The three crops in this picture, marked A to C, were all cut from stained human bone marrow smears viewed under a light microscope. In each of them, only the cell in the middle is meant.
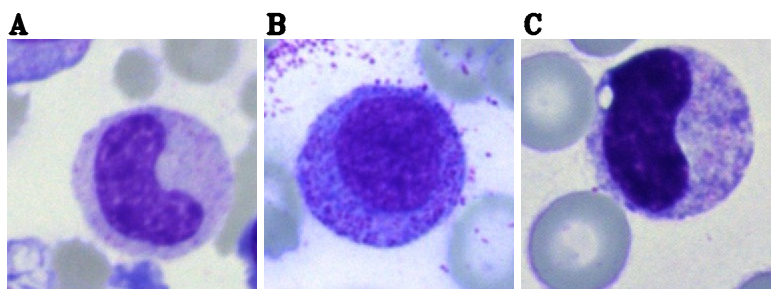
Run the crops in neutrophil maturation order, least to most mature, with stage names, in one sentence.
The least to most mature sequence reads crop B (a promyelocyte), crop C (a metamyelocyte) and crop A (a band neutrophil).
